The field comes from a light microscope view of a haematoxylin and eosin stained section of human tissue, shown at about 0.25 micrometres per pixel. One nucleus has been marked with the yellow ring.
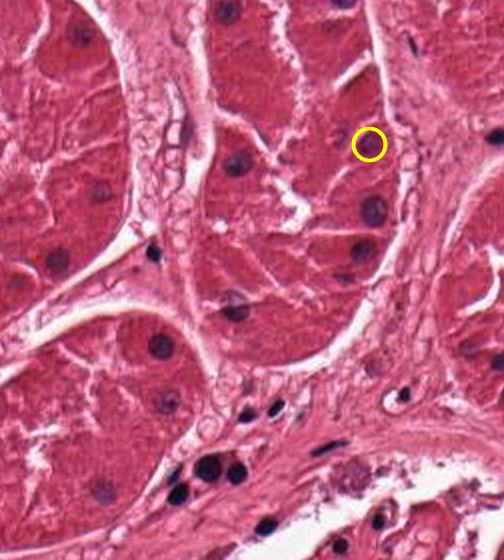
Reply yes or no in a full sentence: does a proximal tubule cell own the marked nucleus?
Yes, the marked nucleus is in a proximal tubule cell.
